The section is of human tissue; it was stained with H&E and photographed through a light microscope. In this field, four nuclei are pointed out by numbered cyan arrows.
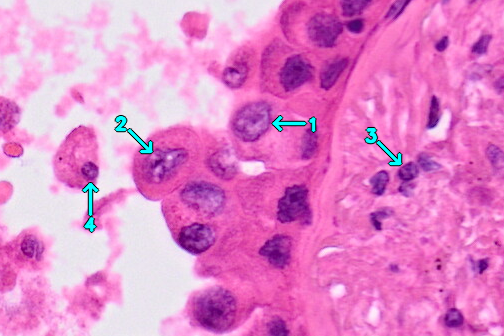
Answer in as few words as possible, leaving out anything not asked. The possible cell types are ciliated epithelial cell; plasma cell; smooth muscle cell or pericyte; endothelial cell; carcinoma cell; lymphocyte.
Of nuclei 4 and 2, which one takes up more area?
2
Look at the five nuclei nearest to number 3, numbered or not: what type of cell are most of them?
lymphocyte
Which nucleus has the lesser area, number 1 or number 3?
3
